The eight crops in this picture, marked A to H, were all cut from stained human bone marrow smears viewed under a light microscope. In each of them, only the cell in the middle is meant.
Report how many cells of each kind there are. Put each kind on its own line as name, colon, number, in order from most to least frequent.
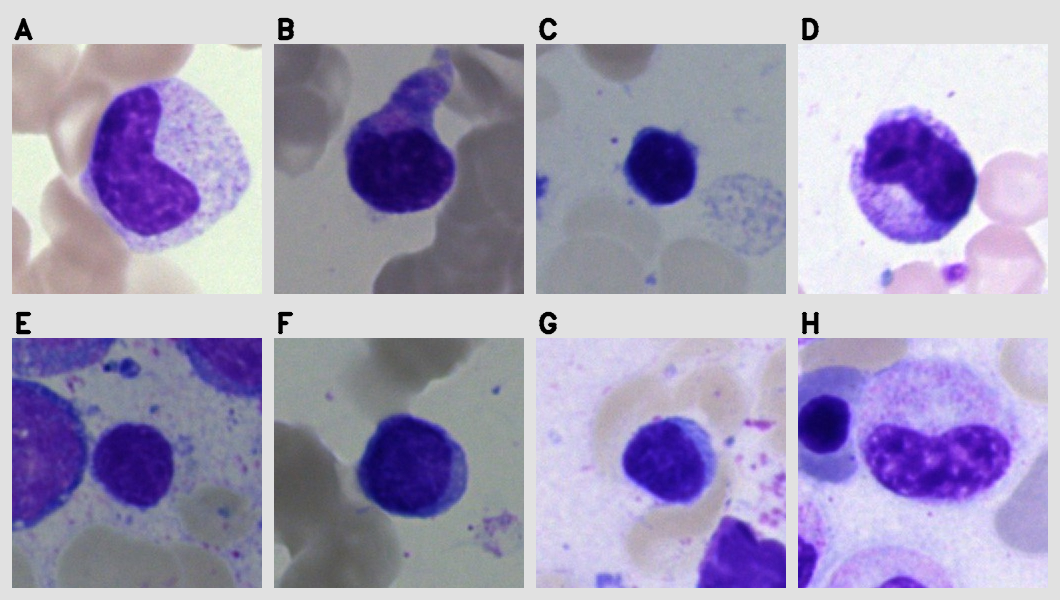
lymphocyte: 5
metamyelocyte: 3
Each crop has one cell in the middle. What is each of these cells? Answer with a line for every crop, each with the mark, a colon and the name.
A: metamyelocyte
B: lymphocyte
C: lymphocyte
D: metamyelocyte
E: lymphocyte
F: lymphocyte
G: lymphocyte
H: metamyelocyte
